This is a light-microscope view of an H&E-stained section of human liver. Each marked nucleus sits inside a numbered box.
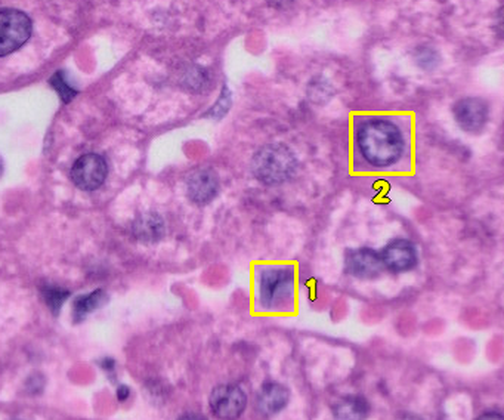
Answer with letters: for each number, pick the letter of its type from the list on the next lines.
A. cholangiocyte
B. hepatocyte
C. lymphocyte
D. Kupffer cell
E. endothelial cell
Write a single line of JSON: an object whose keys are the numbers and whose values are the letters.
{"1": "E", "2": "B"}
